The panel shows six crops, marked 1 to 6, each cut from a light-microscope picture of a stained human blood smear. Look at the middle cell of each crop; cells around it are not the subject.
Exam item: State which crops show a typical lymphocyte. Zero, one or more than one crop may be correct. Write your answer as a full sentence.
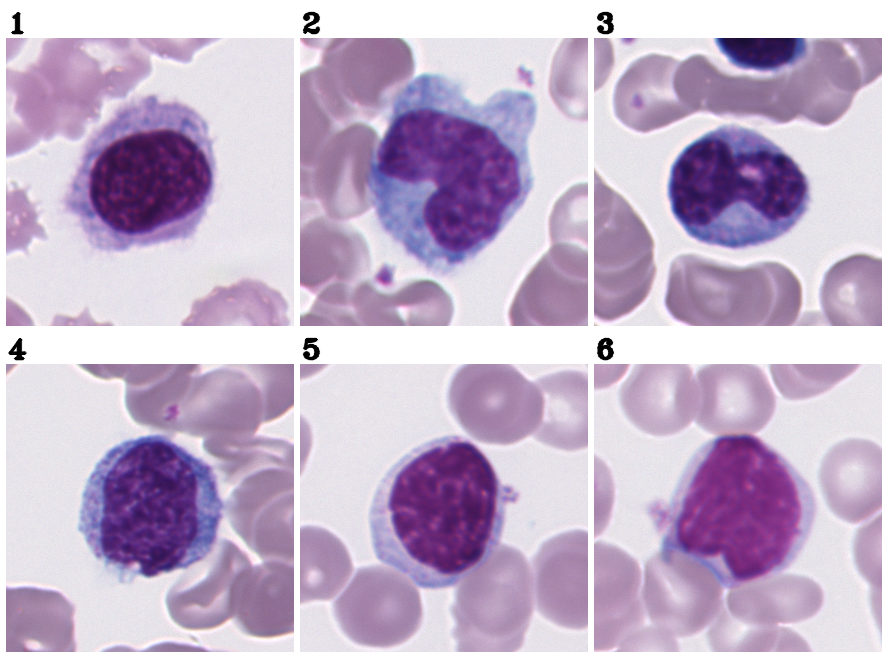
None of the cells in these crops is a typical lymphocyte.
